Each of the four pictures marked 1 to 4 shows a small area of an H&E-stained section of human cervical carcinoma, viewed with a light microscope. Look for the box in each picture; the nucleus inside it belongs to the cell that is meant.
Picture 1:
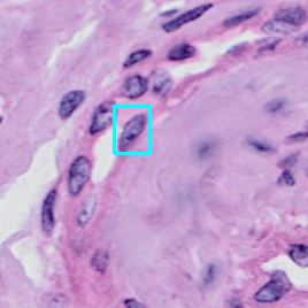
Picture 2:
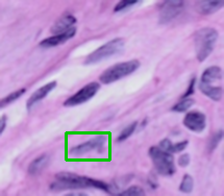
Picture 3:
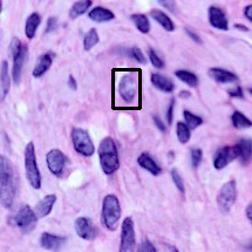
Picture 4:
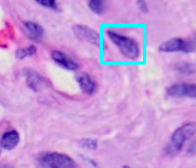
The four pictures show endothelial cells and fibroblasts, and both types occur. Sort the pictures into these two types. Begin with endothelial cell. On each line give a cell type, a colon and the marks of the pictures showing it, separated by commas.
endothelial cell: 1, 3
fibroblast: 2, 4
